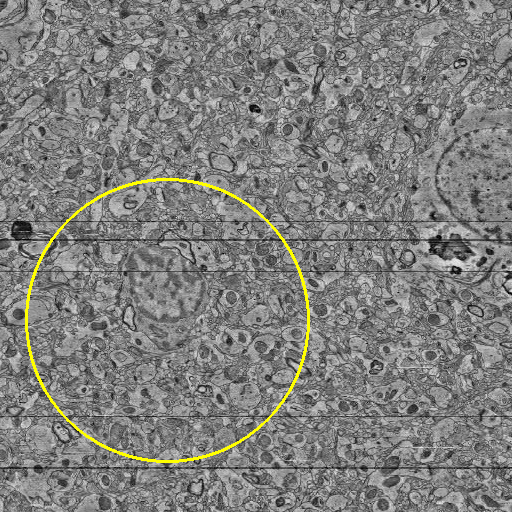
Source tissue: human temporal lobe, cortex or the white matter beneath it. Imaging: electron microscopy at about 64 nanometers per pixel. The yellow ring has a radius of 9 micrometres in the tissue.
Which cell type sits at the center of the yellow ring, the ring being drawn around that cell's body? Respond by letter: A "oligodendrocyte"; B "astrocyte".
A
